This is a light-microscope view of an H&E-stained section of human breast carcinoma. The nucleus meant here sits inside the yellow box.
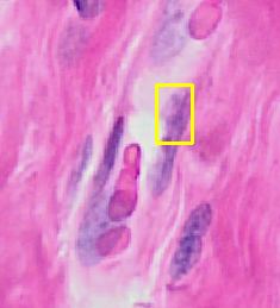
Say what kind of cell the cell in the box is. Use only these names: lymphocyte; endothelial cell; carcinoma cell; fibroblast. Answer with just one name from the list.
endothelial cell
